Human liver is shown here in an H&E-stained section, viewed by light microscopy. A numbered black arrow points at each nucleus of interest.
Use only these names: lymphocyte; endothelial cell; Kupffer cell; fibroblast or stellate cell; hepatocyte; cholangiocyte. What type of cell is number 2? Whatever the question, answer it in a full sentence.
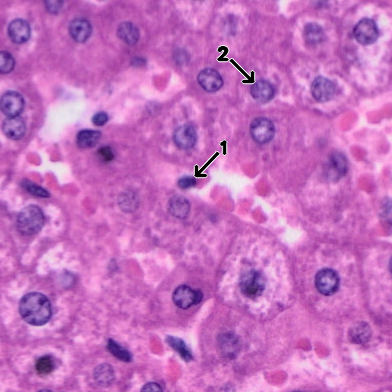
In this section, the cell tagged 2 is a hepatocyte.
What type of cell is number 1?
Cell 1 is classified as a lymphocyte.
